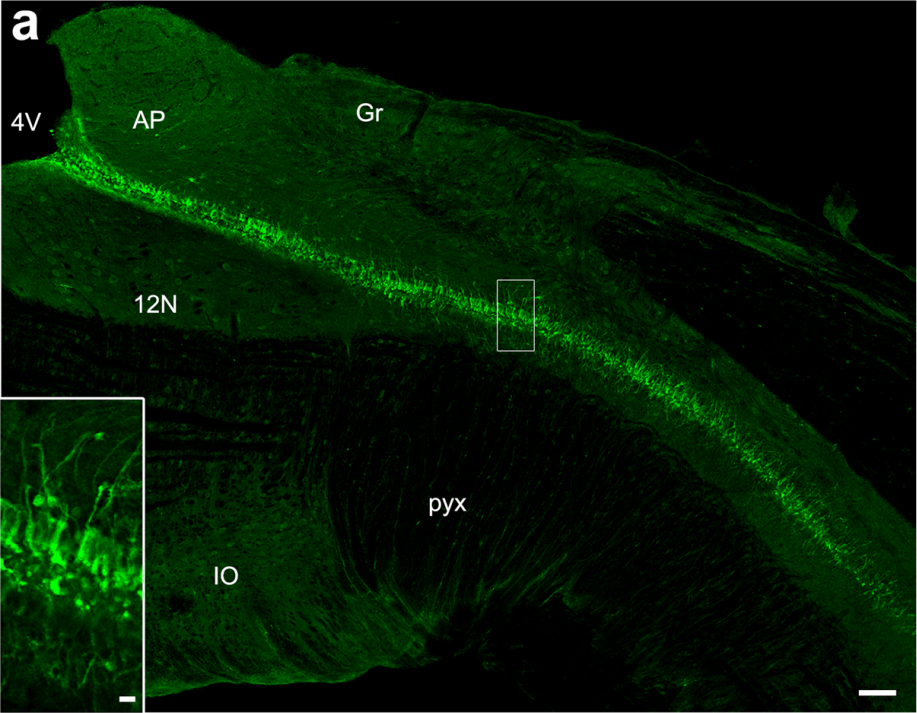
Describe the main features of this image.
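Sagittal section of the caudal brainstem showing tanycyte-like ependymal cells along the central canal. A bright green band runs diagonally from near the fourth ventricle at upper left toward lower right, following the canal. The band consists of densely packed green cell bodies with fine fibres leaving it roughly perpendicular to its length. The inset enlarges part of the band: rounded green cell bodies in a row give off long thin processes extending into the neighbouring tissue. Below, faint striated fibre tracts cross ventrally.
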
